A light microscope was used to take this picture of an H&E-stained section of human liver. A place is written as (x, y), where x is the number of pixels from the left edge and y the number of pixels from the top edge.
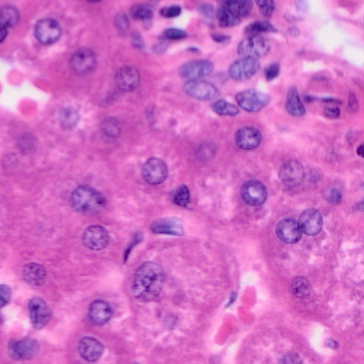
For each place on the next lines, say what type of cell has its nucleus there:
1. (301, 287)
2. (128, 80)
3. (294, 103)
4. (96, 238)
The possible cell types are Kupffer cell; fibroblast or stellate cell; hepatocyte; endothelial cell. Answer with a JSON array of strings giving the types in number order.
["hepatocyte", "hepatocyte", "fibroblast or stellate cell", "hepatocyte"]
